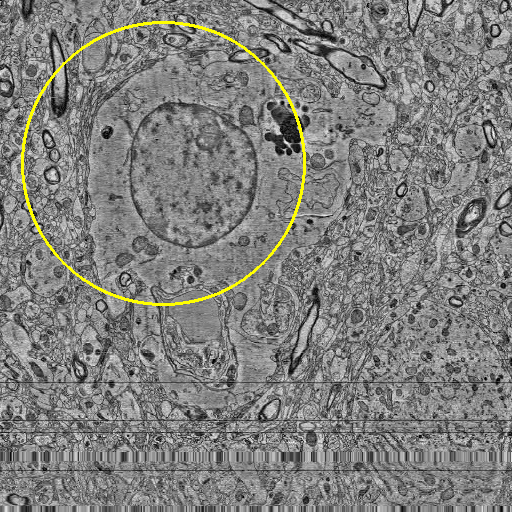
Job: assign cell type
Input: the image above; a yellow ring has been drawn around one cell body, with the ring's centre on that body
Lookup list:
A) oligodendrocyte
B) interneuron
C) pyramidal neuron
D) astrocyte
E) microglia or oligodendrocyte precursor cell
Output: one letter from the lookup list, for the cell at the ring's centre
D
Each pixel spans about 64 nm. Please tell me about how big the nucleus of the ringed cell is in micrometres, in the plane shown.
In this plane the nucleus spans approximately 10 by 8 micrometers.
